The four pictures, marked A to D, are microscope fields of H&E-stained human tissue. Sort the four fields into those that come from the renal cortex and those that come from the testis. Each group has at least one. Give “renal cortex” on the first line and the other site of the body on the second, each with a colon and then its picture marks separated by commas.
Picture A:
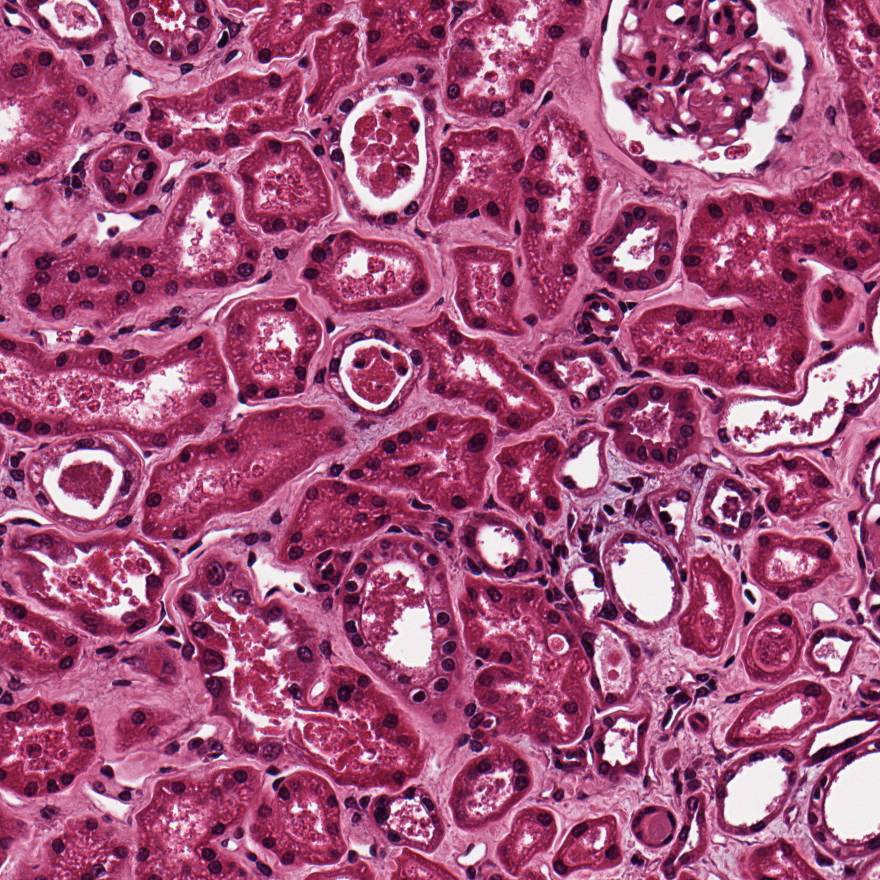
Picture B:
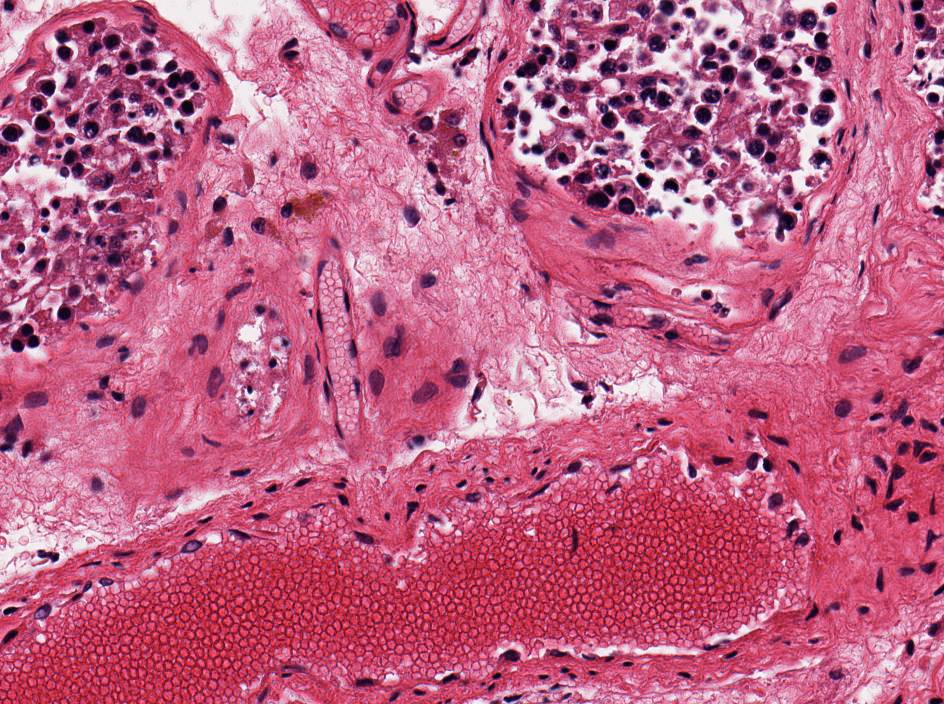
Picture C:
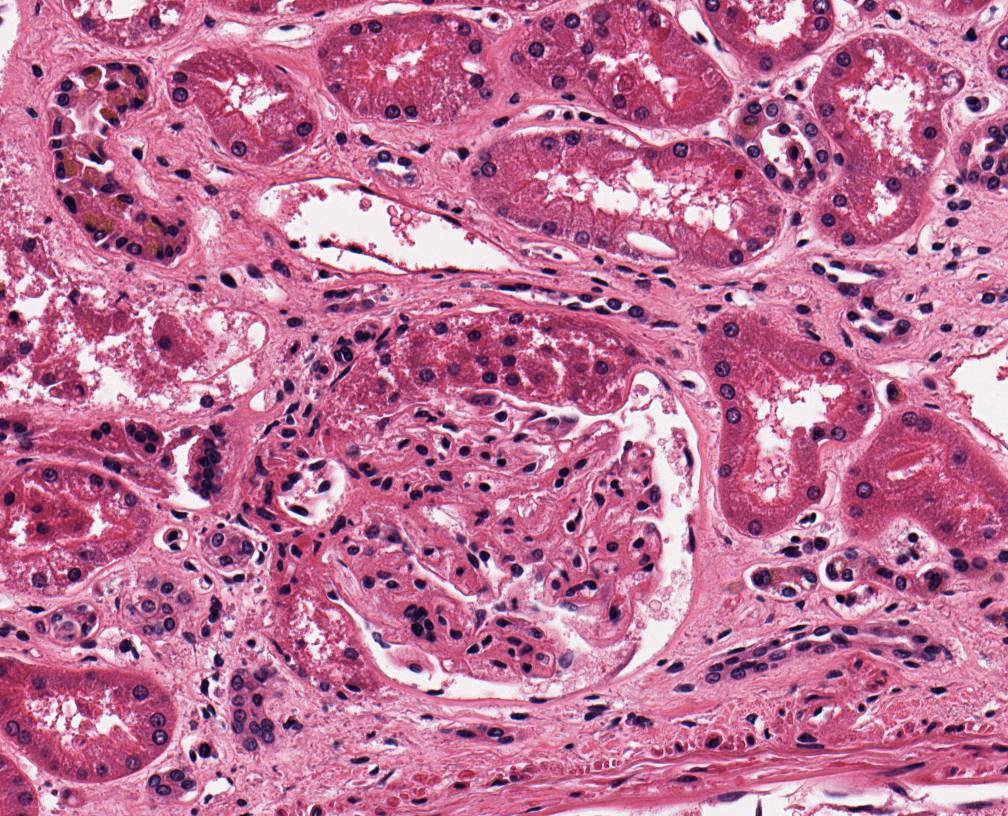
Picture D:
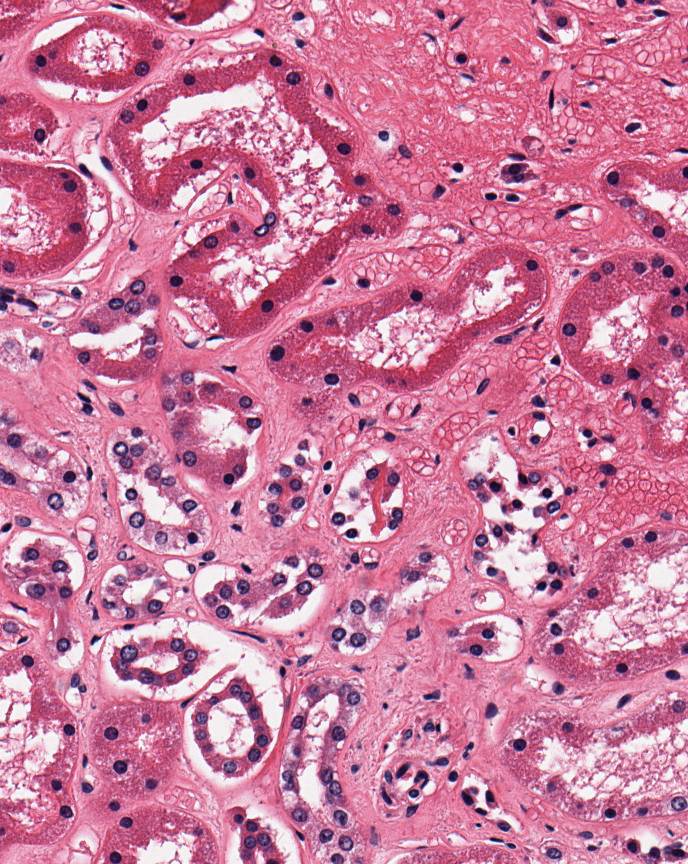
renal cortex: A, C, D
testis: B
